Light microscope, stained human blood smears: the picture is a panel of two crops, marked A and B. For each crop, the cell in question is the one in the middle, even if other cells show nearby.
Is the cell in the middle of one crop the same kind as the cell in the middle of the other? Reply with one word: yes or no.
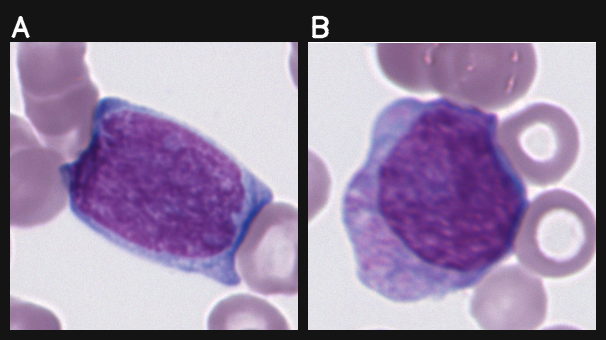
no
